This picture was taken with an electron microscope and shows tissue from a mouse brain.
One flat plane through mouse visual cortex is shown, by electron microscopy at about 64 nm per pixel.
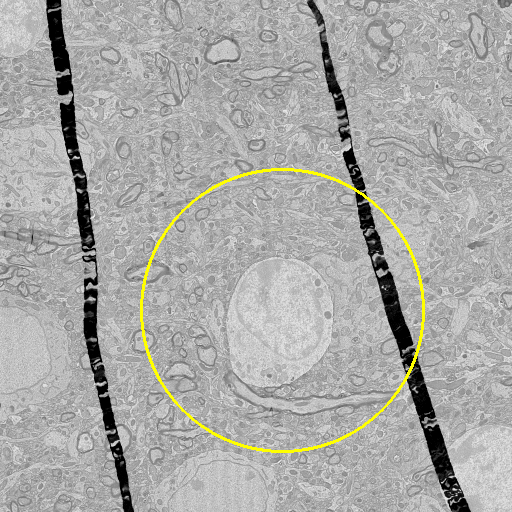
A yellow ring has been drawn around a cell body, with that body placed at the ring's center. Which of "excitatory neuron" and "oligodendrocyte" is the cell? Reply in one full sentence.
In this picture, an oligodendrocyte is the cell at the center of the yellow ring.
